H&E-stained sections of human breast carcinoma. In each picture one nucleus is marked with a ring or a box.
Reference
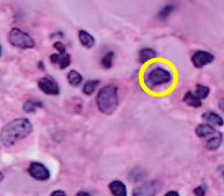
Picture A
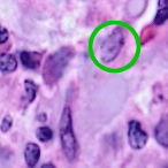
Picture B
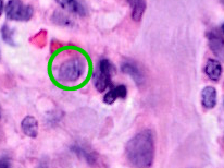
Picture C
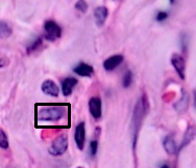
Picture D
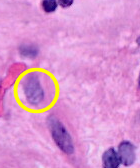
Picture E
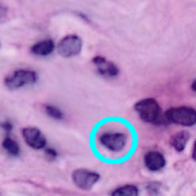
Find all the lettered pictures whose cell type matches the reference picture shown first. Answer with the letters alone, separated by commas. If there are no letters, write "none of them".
E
